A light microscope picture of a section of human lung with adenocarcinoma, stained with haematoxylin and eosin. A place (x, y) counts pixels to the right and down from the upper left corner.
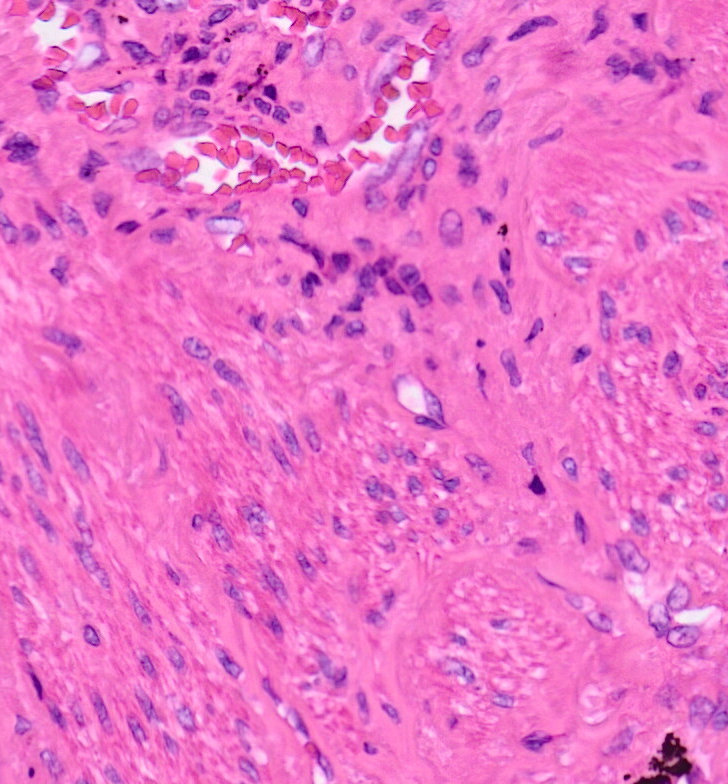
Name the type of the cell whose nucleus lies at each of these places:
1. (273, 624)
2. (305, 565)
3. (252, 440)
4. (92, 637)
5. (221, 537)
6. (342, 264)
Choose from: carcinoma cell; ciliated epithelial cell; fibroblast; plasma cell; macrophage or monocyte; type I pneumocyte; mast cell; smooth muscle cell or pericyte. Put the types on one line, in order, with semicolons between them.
smooth muscle cell or pericyte; smooth muscle cell or pericyte; smooth muscle cell or pericyte; mast cell; smooth muscle cell or pericyte; plasma cell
